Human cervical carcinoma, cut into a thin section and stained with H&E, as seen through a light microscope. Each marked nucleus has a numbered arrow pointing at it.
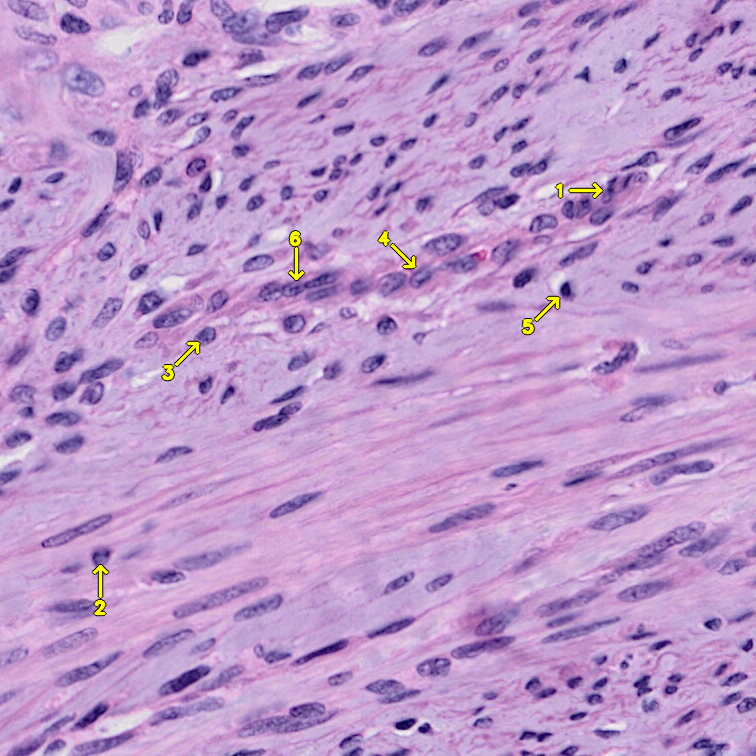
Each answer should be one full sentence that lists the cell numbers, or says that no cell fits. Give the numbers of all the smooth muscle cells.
The cells marked by the numbers 2 and 3 are smooth muscle cells.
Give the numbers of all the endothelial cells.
The cells that have numbers 1, 4 and 6 are endothelial cells.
